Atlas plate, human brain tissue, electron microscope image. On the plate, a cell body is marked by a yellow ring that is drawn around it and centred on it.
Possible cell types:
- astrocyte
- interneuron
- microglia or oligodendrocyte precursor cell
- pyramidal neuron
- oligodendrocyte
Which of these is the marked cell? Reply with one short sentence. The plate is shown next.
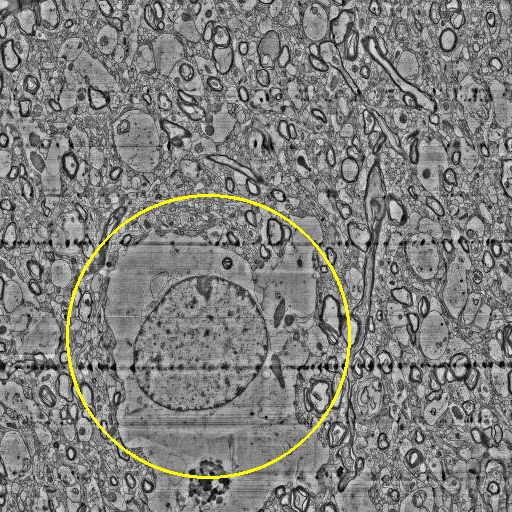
The marked cell is an astrocyte.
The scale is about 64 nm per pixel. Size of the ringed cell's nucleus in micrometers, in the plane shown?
In this plane, roughly 9 micrometres across.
